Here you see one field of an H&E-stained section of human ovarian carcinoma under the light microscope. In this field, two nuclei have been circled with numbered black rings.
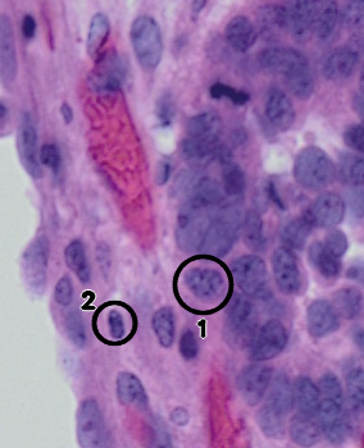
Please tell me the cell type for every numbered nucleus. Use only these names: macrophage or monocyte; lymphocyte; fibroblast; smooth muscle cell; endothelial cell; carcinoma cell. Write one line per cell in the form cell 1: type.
cell 1: carcinoma cell
cell 2: lymphocyte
